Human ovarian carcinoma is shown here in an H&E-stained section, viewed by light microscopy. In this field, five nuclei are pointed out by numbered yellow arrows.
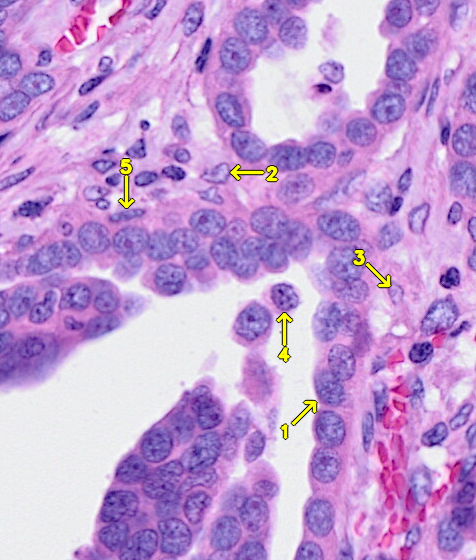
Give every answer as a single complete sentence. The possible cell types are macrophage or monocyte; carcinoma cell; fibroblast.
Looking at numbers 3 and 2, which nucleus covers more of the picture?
Number 2 is larger; its area is about 1.5 times that of number 3.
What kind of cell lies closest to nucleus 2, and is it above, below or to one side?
The nearest nucleus is that of a fibroblast and lies below nucleus 2.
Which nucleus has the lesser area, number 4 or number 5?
With nucleus 4 about 2 times its size, nucleus 5 is the smaller of the two.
